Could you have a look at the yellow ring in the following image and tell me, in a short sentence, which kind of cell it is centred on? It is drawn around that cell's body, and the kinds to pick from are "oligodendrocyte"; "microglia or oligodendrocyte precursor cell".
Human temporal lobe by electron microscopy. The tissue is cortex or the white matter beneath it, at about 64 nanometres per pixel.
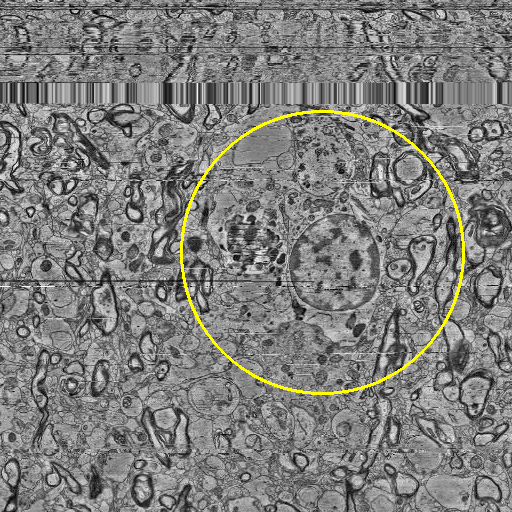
The ring is centred on the body of a microglial cell or oligodendrocyte precursor cell.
